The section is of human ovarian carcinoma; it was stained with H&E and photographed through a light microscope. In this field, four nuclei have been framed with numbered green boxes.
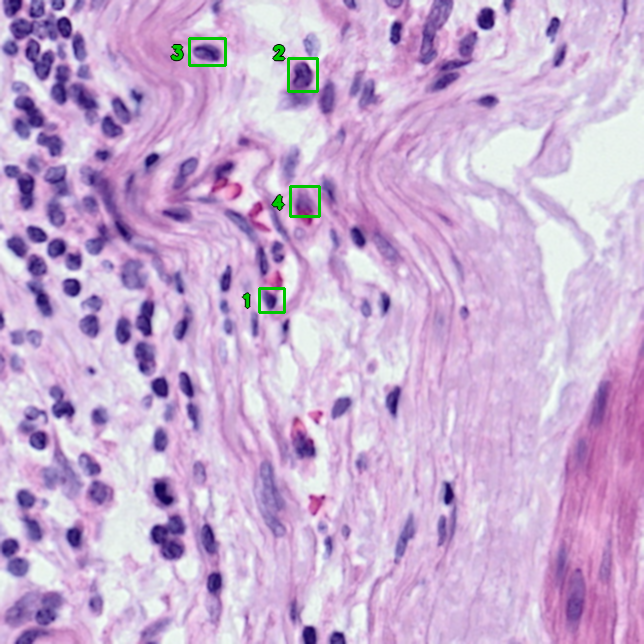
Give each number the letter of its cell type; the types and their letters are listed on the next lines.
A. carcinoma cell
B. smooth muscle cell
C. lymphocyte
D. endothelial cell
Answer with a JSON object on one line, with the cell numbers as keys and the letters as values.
{"1": "D", "2": "C", "3": "C", "4": "D"}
